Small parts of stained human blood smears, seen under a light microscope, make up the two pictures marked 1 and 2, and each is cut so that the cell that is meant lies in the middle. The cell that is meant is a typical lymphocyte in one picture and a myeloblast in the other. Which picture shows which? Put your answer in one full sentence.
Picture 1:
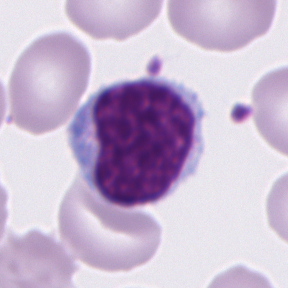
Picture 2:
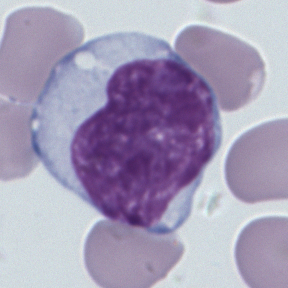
In picture 1 the cell is a typical lymphocyte; in picture 2, a myeloblast.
